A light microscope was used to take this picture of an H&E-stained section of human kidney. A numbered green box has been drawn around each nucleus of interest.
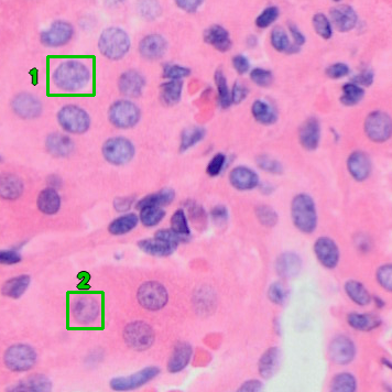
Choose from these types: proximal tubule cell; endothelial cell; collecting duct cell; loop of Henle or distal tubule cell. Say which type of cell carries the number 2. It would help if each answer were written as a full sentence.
At number 2, the marked cell is a proximal tubule cell.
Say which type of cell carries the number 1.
Belonging to a loop of Henle or distal tubule cell is the nucleus that carries the number 1.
